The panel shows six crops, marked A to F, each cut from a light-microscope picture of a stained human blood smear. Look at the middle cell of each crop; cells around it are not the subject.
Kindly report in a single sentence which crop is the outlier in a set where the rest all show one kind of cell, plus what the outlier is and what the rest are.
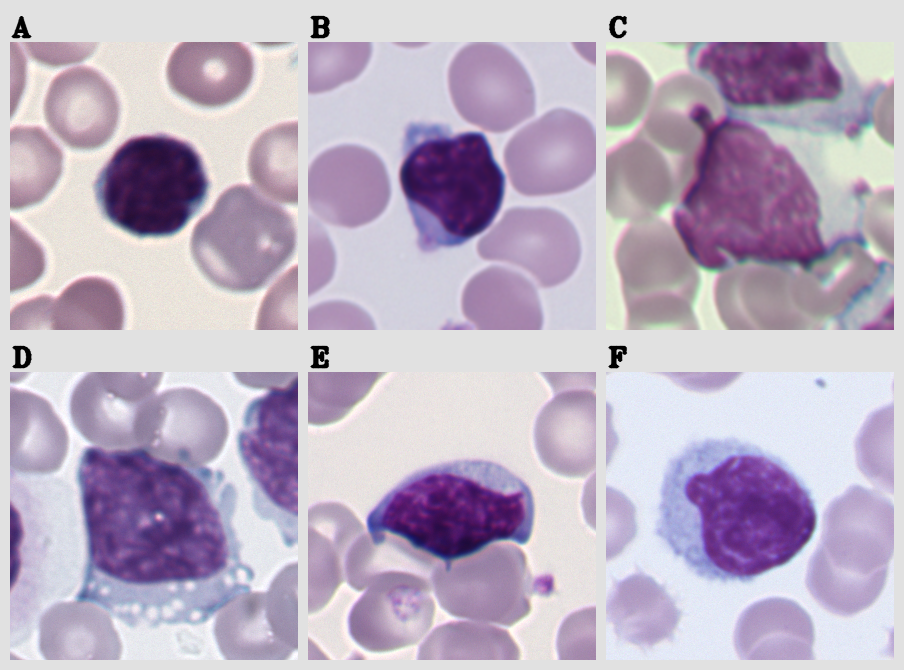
The central cell of crop D is a blast, while the other crops show lymphocytes.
